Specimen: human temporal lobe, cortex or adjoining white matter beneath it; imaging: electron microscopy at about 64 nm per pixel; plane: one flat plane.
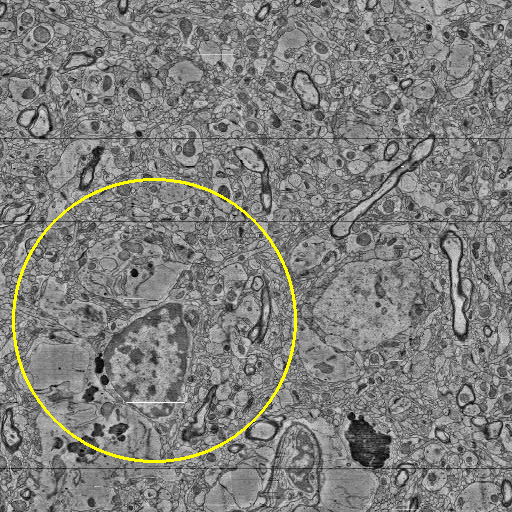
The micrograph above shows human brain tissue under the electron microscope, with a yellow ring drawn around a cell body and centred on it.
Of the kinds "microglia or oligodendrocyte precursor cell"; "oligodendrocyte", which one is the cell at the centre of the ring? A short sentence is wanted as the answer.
The one at the centre of the ring is a microglial cell or oligodendrocyte precursor cell.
